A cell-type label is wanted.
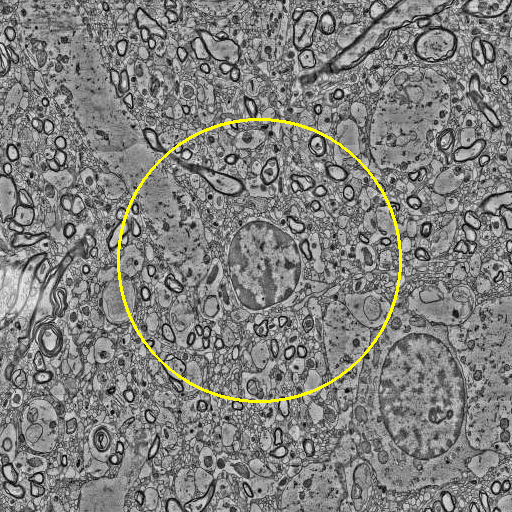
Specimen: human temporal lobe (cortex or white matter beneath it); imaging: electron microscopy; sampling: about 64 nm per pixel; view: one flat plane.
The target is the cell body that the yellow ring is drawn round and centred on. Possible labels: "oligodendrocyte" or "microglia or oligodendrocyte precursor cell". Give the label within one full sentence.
Of the labels offered, the cell in the middle of the yellow ring is a microglial cell or oligodendrocyte precursor cell.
